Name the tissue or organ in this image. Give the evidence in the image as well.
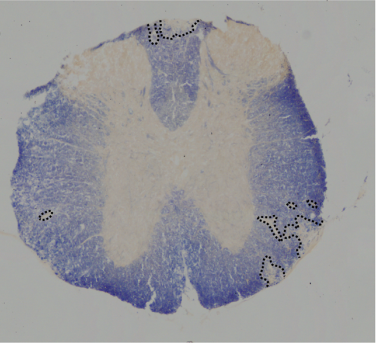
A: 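Round transverse section with a central butterfly-shaped pale region.
Answer: spinal cord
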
